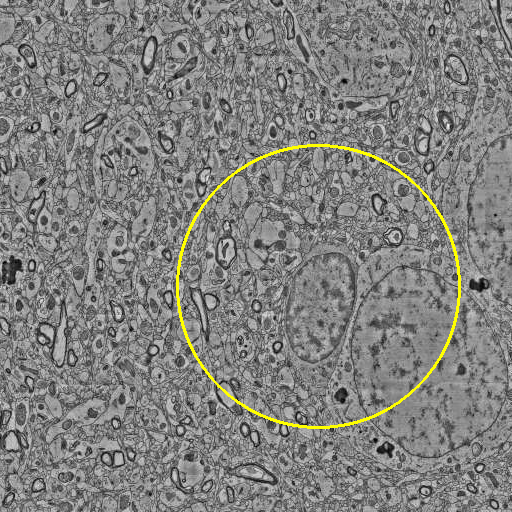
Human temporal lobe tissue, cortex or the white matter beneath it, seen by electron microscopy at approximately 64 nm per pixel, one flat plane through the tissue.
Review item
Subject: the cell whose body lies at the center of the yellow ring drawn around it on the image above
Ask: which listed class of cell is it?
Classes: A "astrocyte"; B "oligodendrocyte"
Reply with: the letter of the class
B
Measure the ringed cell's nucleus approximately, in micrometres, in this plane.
In this plane the nucleus is clearly longer than it is wide: roughly 7 by 5 micrometres.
